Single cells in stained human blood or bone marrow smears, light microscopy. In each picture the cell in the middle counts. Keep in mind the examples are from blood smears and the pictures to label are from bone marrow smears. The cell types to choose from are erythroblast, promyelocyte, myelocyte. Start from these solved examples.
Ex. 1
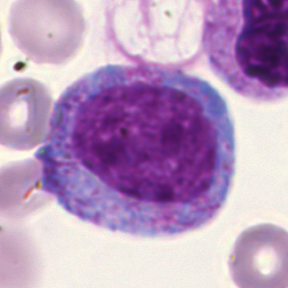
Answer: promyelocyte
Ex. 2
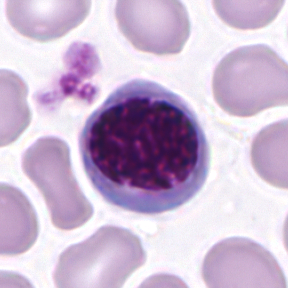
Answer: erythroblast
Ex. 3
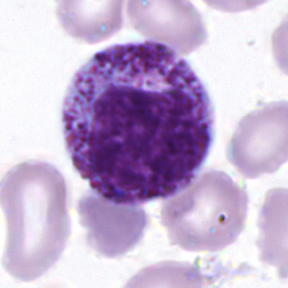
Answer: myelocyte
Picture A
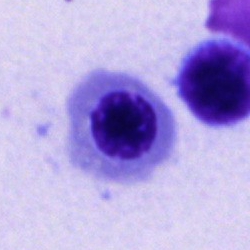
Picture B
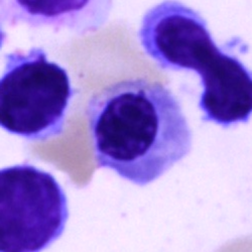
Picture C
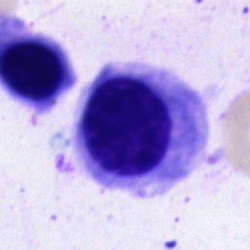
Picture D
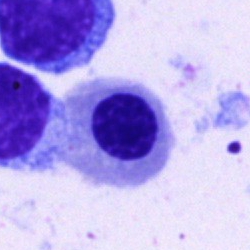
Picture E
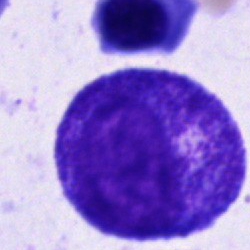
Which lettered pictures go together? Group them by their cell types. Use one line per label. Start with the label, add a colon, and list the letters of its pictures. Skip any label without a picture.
erythroblast: A, B, C, D
promyelocyte: E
